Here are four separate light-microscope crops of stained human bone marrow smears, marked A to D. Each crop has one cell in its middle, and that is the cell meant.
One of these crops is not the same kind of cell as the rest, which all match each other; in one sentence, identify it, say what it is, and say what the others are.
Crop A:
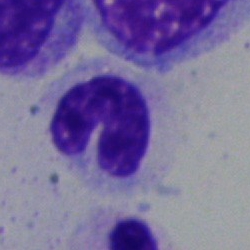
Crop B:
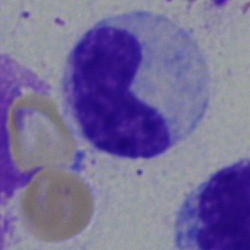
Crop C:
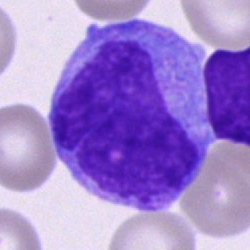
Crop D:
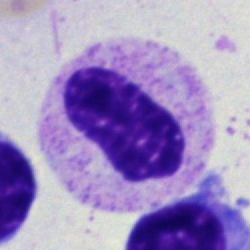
The exception is crop C: it is a monocyte, and the others are all band neutrophils.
